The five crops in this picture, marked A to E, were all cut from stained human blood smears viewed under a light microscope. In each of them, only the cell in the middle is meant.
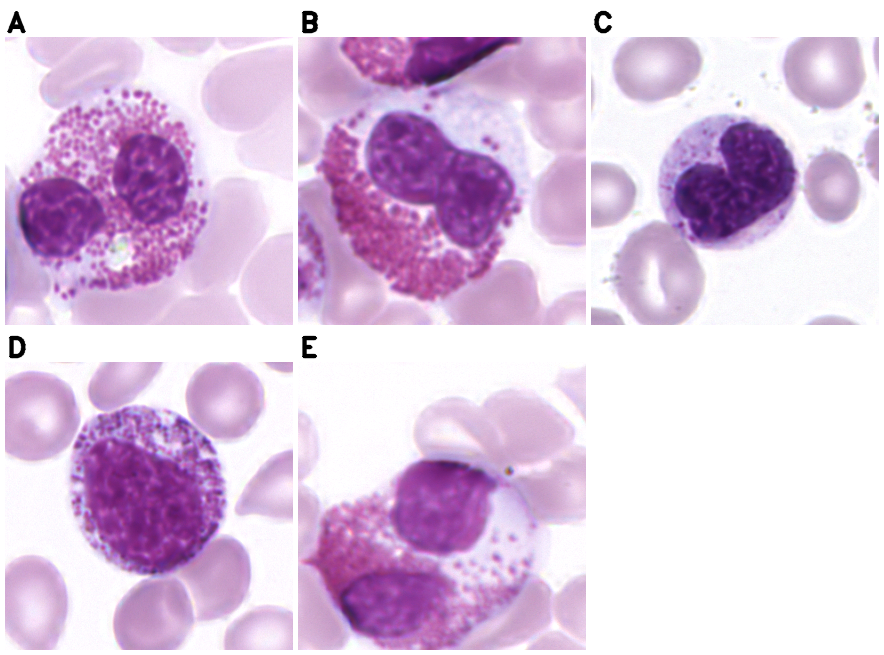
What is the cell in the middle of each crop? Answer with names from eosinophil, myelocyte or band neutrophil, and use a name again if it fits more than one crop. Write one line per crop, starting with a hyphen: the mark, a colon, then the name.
- A: eosinophil
- B: eosinophil
- C: band neutrophil
- D: myelocyte
- E: eosinophil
